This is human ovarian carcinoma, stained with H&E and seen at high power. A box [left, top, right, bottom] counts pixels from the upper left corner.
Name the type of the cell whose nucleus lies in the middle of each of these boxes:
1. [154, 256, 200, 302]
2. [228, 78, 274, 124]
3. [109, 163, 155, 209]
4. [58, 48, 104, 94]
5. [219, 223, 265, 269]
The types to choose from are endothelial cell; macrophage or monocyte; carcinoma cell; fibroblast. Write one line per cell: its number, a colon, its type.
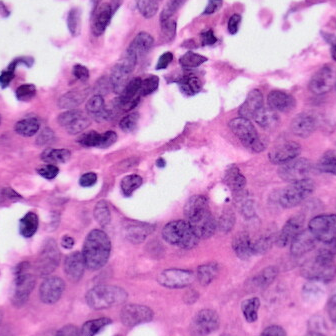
1: endothelial cell
2: carcinoma cell
3: macrophage or monocyte
4: carcinoma cell
5: carcinoma cell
